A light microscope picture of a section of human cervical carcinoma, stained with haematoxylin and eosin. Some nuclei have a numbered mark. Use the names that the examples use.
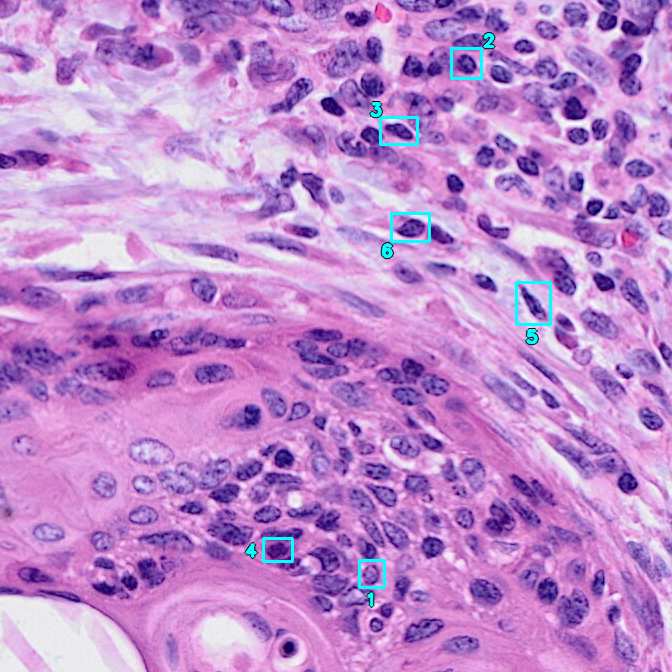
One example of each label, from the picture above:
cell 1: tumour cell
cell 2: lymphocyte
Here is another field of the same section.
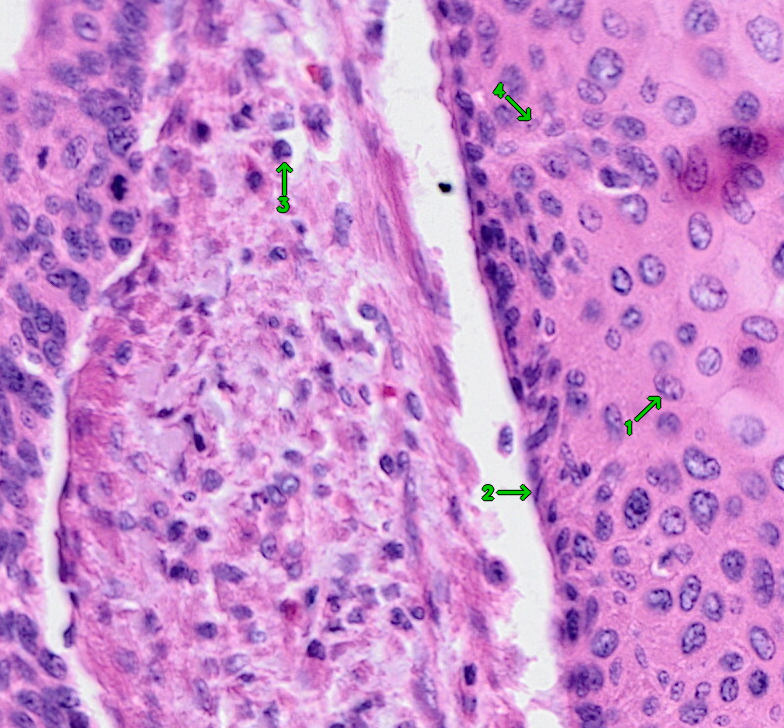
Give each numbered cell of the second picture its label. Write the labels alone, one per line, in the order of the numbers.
tumour cell
tumour cell
lymphocyte
tumour cell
